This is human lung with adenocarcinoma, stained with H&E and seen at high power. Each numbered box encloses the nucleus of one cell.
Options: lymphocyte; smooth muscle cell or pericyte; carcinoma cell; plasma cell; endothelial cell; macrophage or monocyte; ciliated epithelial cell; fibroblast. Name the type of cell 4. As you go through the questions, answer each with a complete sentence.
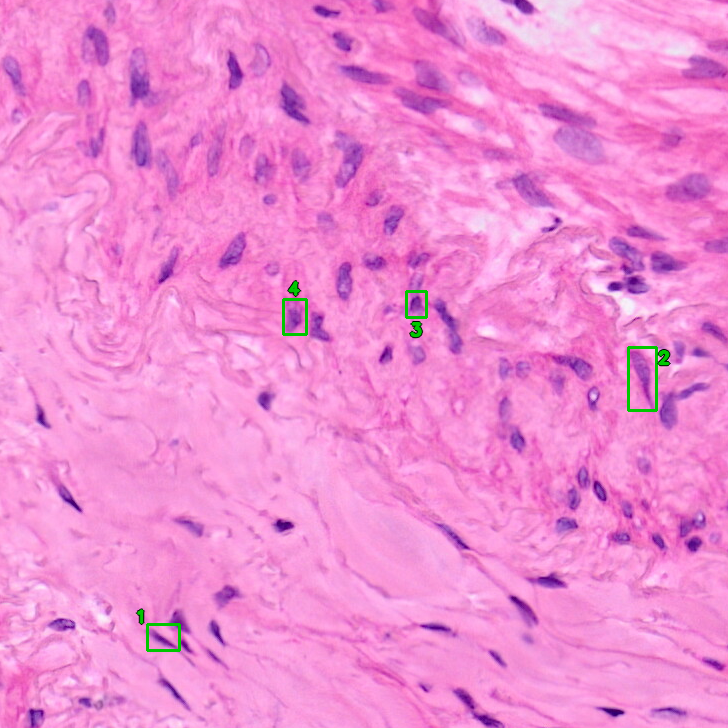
In the marked set, the cell given number 4 is a smooth muscle cell or pericyte.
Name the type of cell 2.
Identified by the number 2, the cell is a smooth muscle cell or pericyte.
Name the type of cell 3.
Number 3 among the marked cells is a smooth muscle cell or pericyte.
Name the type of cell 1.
Cell 1, among those numbered, is a fibroblast.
